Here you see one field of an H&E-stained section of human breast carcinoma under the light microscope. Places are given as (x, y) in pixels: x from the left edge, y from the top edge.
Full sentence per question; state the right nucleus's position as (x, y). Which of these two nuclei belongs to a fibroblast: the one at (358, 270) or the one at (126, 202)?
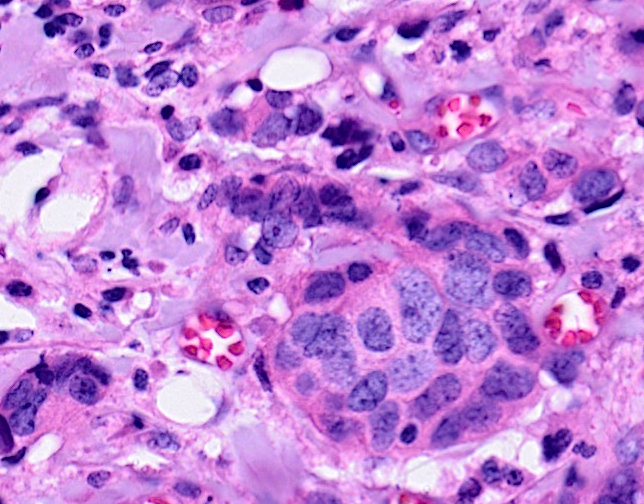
Only the nucleus at (126, 202), of the two, belongs to a fibroblast.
